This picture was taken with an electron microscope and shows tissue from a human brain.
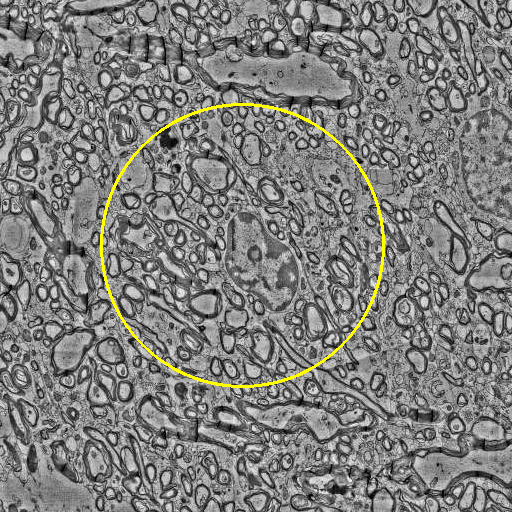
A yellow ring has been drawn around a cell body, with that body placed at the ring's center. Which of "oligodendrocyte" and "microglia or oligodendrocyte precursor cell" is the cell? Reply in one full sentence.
In this picture, a microglial cell or oligodendrocyte precursor cell is the cell at the center of the yellow ring.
